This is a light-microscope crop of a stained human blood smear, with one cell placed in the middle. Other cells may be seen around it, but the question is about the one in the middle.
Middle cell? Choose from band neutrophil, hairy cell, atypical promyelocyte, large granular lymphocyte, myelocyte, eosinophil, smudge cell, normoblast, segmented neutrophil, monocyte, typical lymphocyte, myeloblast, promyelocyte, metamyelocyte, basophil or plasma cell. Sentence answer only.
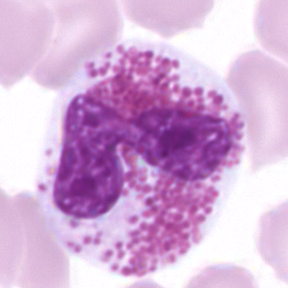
The central element of this crop is a cell, namely an eosinophil.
